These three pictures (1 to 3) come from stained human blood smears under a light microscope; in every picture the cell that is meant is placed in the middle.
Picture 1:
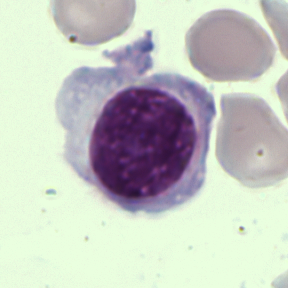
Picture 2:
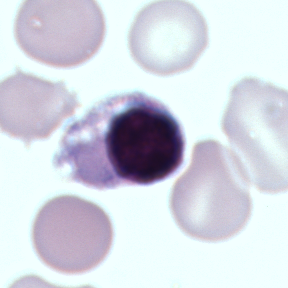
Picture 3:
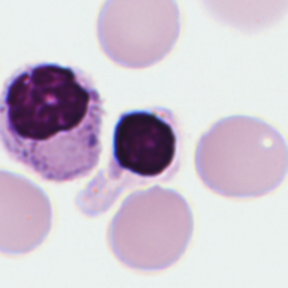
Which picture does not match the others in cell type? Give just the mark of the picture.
1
